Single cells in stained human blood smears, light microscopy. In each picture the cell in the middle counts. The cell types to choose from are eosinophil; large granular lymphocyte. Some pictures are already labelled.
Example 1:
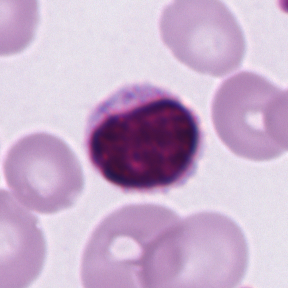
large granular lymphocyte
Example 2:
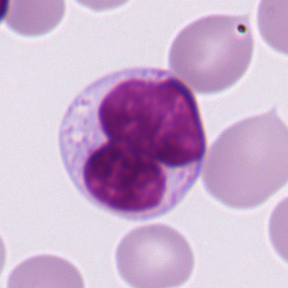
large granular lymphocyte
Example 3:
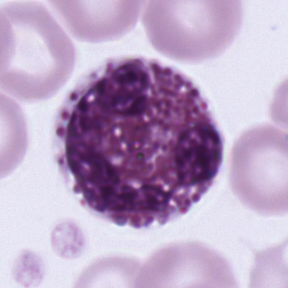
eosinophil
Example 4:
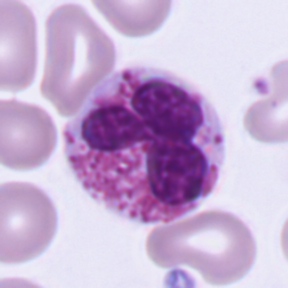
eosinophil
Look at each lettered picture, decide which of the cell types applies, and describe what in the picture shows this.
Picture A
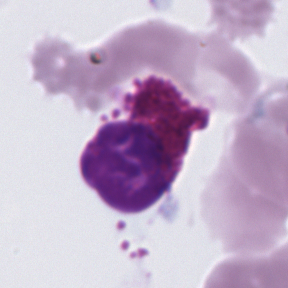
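eosinophil. Coarse reddish-purple granules are crowded together in the upper right part of the cell.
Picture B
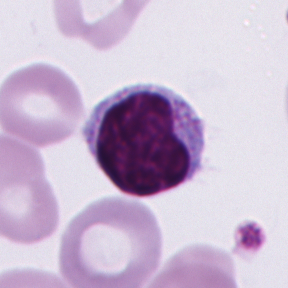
large granular lymphocyte. Fine purple granules are scattered through the cytoplasm.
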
